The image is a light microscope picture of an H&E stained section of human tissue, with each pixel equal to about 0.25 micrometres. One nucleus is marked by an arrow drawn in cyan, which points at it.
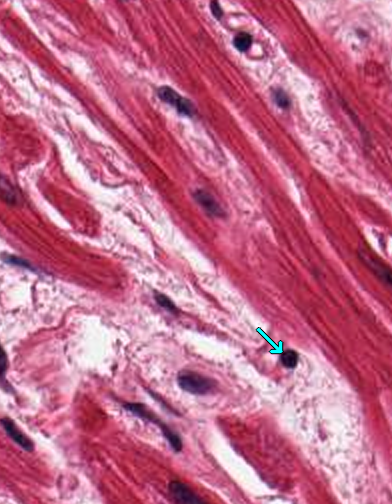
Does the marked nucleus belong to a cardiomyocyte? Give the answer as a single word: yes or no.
no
